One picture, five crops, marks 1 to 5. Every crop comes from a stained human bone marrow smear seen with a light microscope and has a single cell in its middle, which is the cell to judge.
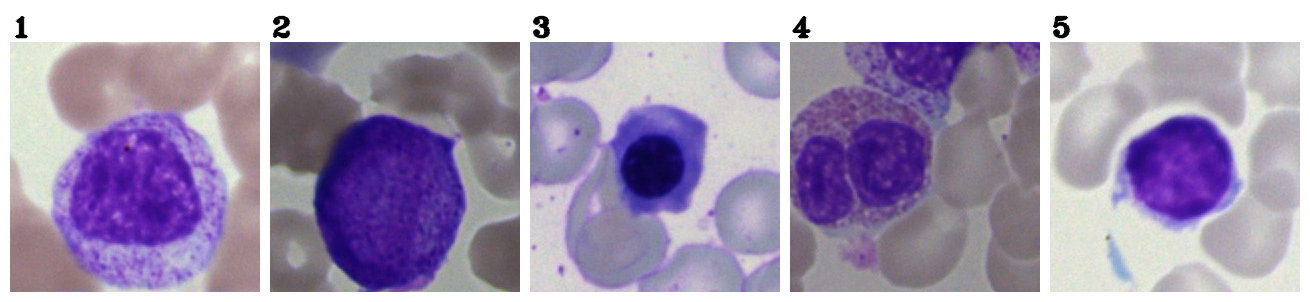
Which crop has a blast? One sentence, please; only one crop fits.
Within this set, crop 2 is the one with a blast at its center.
